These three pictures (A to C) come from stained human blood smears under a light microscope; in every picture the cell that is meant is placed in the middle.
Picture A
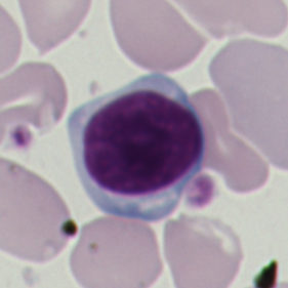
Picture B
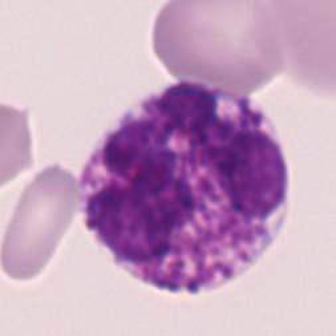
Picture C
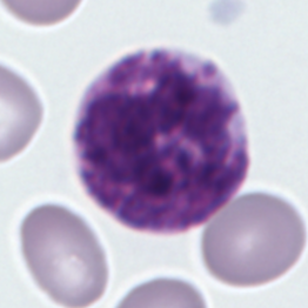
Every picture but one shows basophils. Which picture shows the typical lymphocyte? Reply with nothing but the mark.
A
